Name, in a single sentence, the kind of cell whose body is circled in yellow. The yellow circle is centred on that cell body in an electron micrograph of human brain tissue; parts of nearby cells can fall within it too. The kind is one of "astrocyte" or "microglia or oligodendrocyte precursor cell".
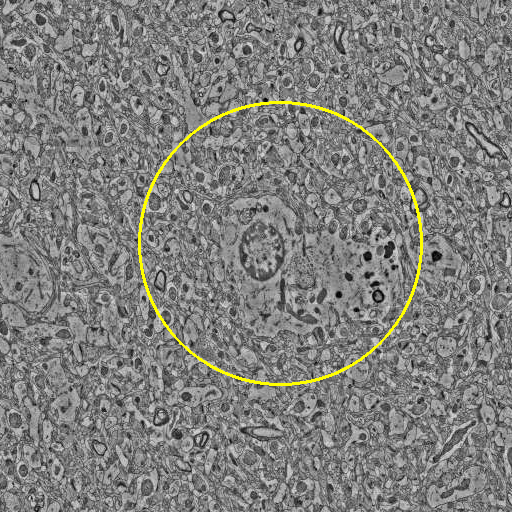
The circled cell body belongs to an astrocyte.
